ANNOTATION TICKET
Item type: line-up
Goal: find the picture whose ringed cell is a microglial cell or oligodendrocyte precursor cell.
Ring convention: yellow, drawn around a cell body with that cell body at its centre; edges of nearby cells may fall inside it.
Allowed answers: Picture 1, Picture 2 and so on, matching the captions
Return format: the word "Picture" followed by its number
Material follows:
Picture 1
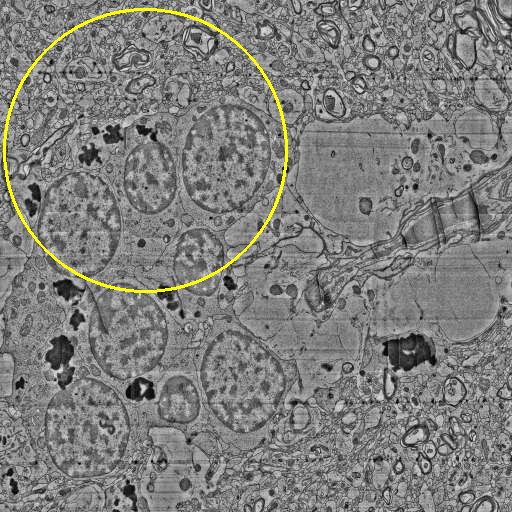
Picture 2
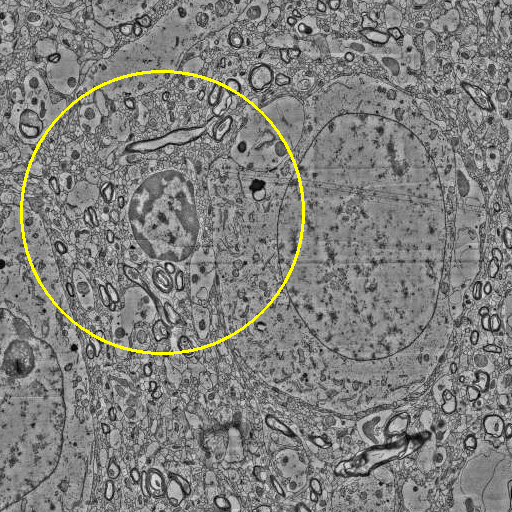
Picture 2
